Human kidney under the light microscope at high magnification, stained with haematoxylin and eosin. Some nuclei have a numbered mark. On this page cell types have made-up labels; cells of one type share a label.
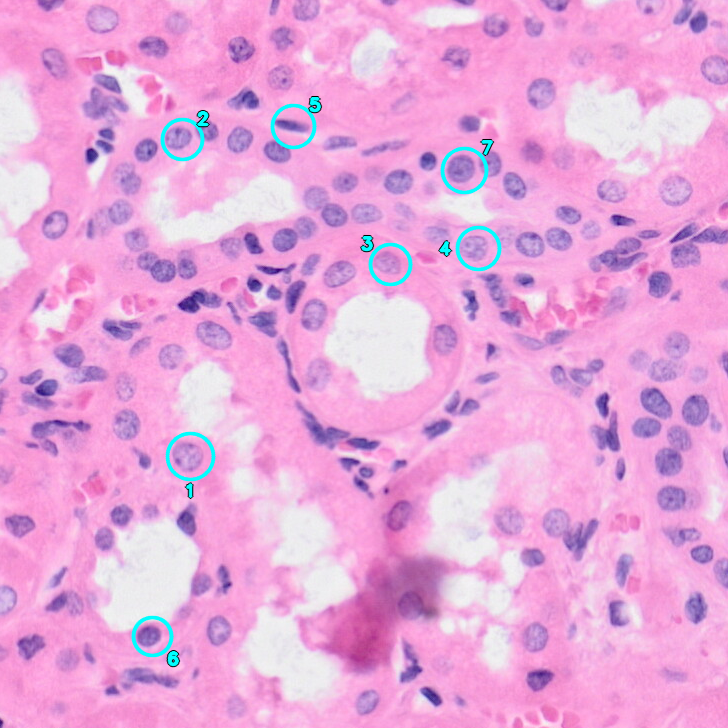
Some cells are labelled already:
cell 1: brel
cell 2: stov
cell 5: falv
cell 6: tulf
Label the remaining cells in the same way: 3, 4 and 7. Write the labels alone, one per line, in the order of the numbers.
brel
stov
stov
